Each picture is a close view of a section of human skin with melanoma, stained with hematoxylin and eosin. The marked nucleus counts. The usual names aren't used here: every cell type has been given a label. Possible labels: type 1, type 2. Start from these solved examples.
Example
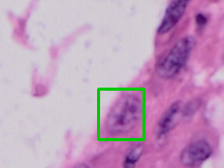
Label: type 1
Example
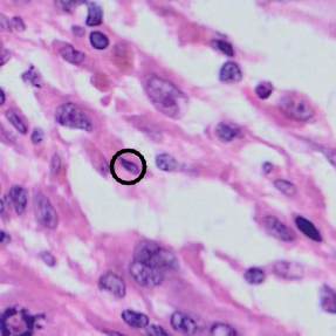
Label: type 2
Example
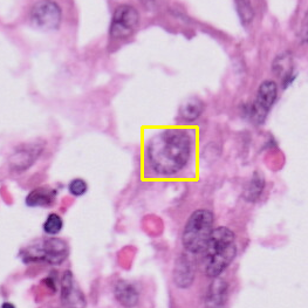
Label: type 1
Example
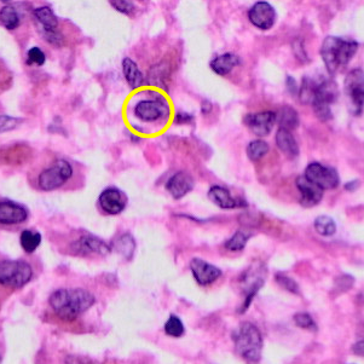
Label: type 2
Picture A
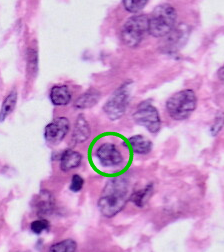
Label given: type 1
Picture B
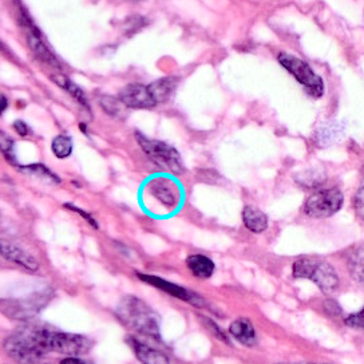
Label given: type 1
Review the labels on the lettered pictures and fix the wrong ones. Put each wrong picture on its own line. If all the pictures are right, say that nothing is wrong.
All labels are correct.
